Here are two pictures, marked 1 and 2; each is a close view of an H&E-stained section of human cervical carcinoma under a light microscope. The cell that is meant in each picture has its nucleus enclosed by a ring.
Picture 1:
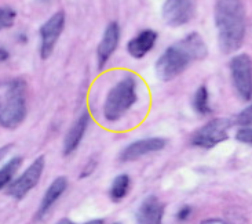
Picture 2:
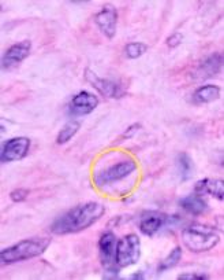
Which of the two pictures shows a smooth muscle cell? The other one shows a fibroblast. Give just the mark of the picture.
2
